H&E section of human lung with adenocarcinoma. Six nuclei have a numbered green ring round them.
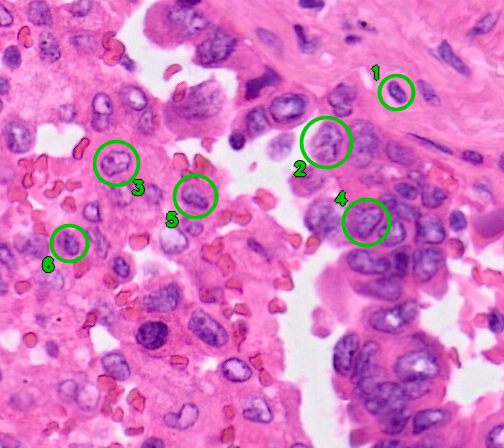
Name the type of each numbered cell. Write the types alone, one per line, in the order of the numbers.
lymphocyte
carcinoma cell
macrophage or monocyte
carcinoma cell
macrophage or monocyte
macrophage or monocyte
